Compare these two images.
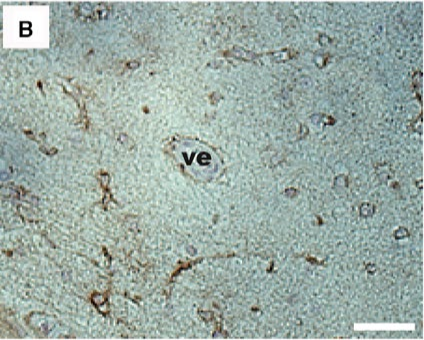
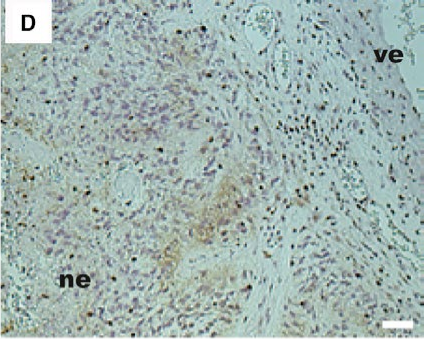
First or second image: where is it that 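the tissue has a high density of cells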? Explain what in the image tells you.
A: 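First image: scattered cells lie far apart in a pale fibrillary background.
Conclusion: the second image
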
